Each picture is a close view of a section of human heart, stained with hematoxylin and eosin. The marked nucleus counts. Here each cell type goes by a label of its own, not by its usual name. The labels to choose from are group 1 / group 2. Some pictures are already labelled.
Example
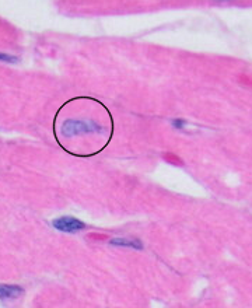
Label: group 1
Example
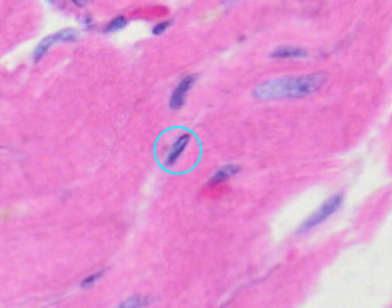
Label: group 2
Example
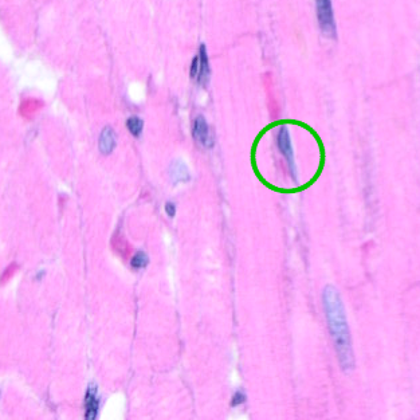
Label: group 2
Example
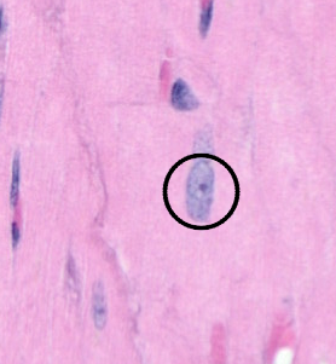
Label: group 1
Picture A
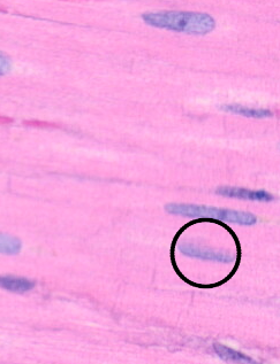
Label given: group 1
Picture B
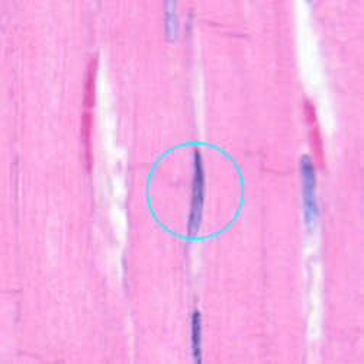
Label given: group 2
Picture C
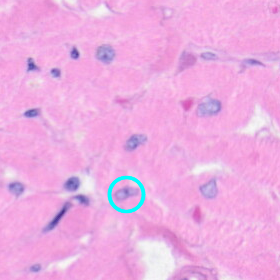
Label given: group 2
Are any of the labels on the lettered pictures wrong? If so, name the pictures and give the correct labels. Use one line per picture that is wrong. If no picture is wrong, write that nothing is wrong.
C should be group 1, not group 2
